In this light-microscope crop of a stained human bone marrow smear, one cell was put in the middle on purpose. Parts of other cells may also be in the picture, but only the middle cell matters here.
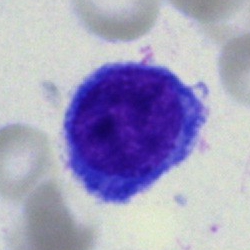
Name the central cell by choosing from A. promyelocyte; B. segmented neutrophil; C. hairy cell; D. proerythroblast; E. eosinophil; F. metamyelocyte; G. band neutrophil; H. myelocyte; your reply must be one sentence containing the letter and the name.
This one is option D, since the cell at the center is a proerythroblast.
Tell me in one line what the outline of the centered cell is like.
Around its circumference, the cell has an uneven edge, ragged or projecting in places.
